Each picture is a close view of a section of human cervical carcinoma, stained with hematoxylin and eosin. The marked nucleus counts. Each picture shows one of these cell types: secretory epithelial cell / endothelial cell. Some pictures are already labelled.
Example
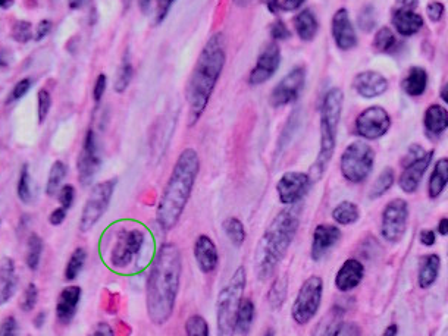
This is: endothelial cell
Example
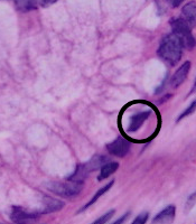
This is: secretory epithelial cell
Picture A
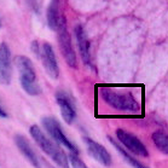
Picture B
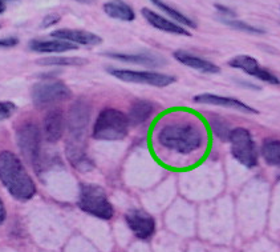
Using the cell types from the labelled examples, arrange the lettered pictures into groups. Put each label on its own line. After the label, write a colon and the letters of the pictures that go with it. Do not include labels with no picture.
secretory epithelial cell: A, B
